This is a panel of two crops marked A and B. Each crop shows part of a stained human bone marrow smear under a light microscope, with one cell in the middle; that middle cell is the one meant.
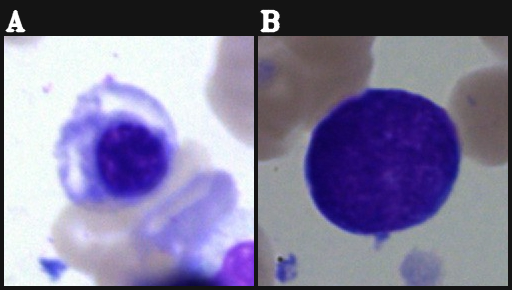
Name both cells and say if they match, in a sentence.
No, the cell centred in crop A is a normoblast, and that centred in crop B is a blast.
